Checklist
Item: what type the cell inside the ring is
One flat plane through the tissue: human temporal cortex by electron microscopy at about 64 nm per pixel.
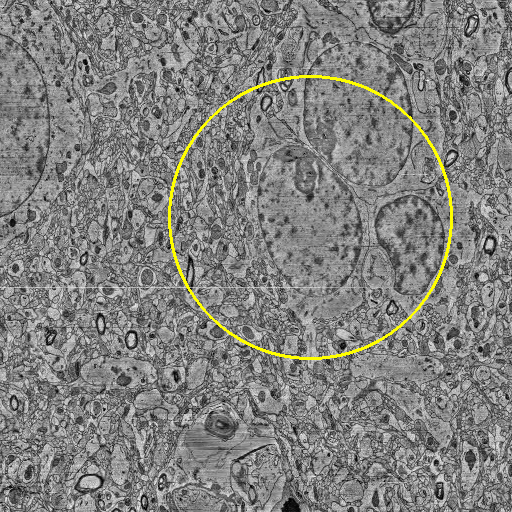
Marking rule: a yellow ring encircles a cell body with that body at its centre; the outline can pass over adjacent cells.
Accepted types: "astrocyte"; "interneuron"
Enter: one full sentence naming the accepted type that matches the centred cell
The entry is that an astrocyte lies at the centre of the yellow ring.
